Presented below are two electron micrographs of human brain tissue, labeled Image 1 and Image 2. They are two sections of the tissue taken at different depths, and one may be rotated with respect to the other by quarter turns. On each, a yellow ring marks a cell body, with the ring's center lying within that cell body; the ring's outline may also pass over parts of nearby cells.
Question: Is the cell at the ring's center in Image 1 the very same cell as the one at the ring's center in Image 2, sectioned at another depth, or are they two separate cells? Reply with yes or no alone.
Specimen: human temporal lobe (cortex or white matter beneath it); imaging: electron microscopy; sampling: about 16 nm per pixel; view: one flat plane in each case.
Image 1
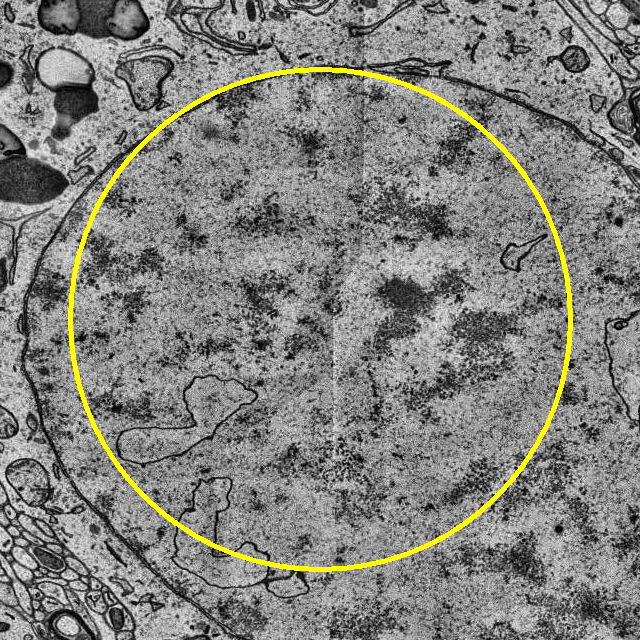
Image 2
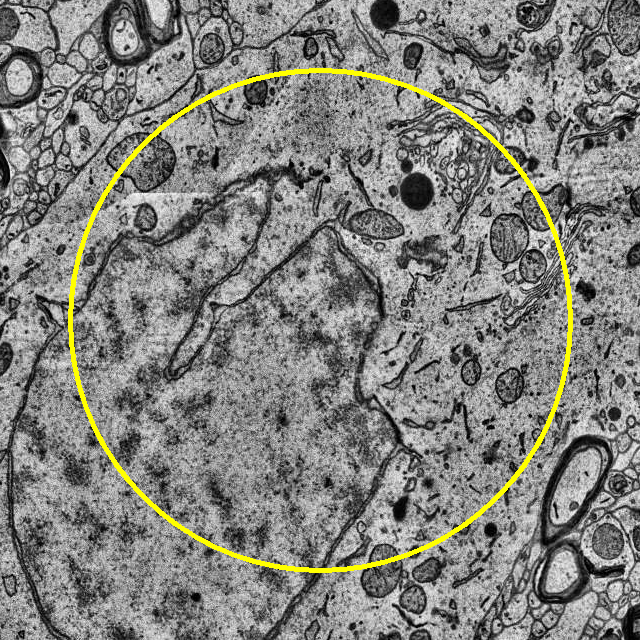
yes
